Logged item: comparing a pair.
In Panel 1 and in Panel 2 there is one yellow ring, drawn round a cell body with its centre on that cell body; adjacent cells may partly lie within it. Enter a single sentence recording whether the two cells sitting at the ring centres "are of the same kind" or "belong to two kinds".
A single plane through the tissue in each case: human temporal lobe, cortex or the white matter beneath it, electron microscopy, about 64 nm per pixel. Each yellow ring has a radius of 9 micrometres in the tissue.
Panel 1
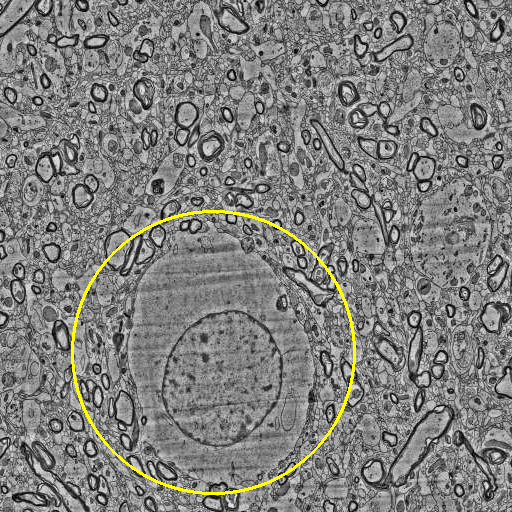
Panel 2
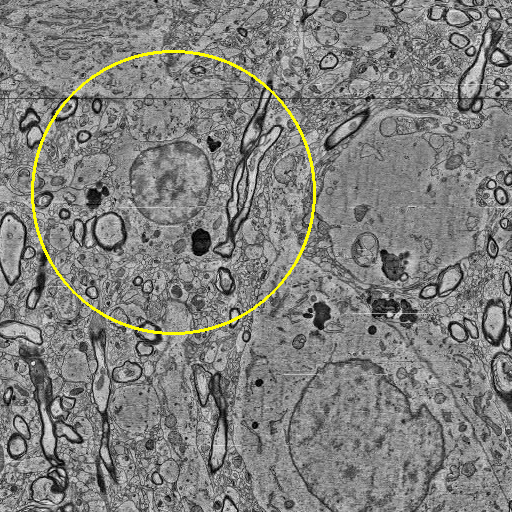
Logged: the cells centred in the rings of Panel 1 and Panel 2 belong to two kinds.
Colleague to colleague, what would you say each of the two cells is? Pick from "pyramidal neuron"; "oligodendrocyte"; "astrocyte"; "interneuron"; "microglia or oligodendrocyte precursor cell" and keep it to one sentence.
The cell in the first picture is an astrocyte; the second picture's cell is an oligodendrocyte.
